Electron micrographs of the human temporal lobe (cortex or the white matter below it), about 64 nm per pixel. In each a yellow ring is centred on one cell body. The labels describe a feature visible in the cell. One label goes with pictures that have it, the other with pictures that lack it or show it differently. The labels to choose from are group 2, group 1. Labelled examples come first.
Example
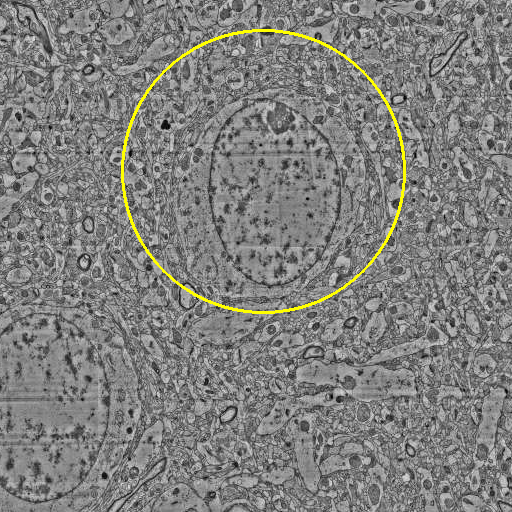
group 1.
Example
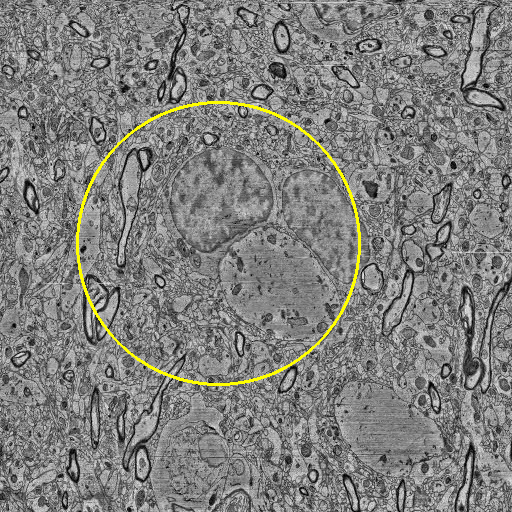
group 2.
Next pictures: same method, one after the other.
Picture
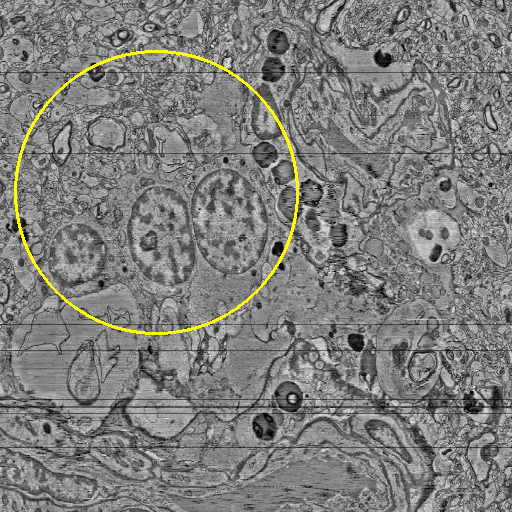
group 1.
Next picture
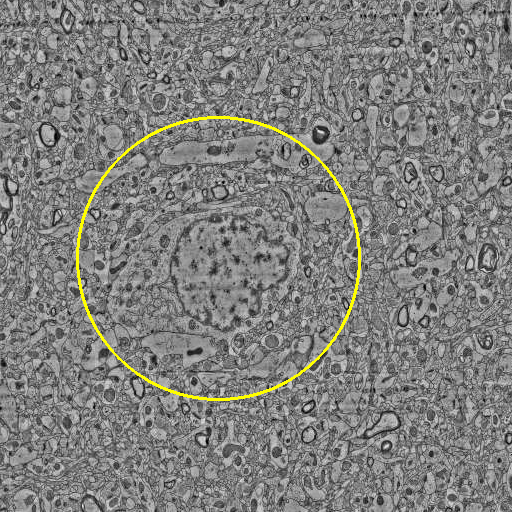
group 2.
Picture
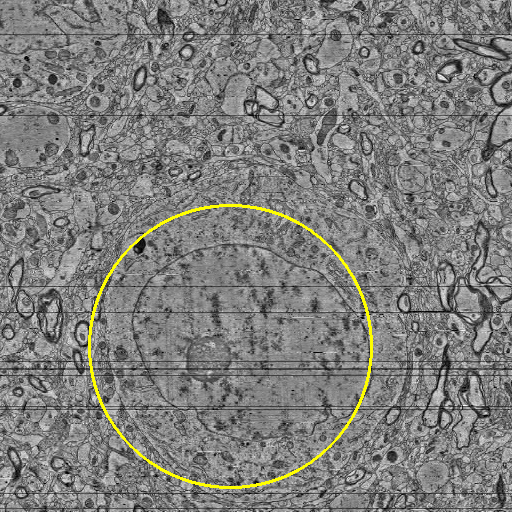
group 1.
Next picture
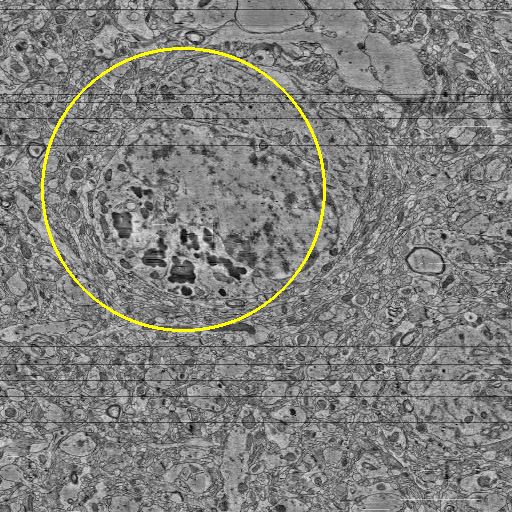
group 2.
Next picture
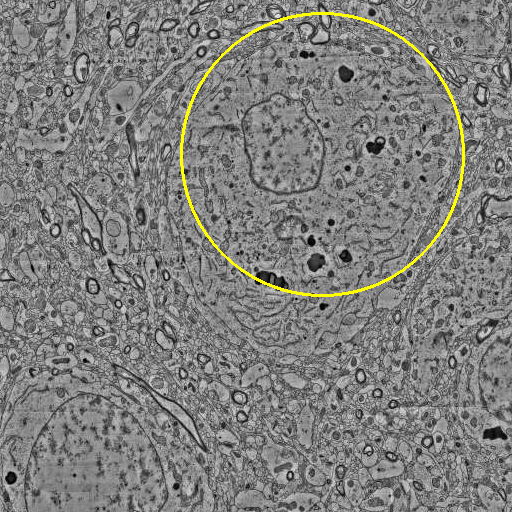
group 2.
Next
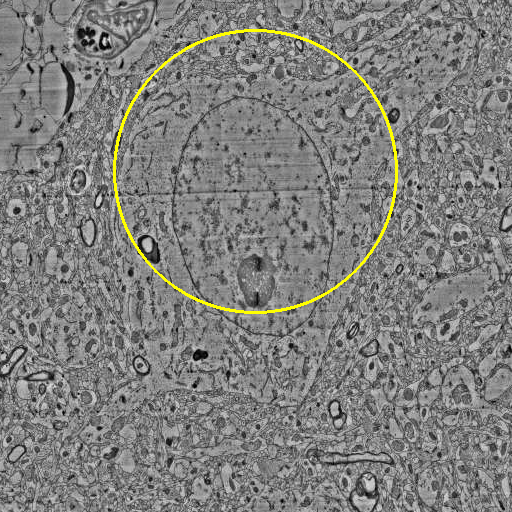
group 1.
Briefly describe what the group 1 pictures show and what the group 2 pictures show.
Seen in group 1: nucleolus seen; seen in group 2: no nucleolus seen.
